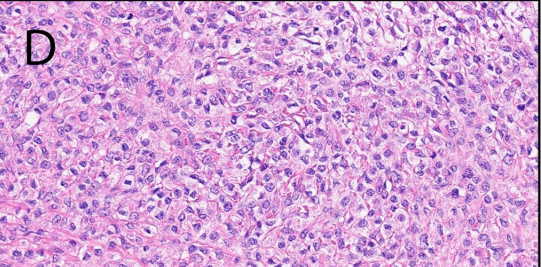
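This tumor is made of epithelioid cells lying within a delicate collagenous stroma. The cells are polygonal with round to oval nuclei and moderate amounts of pale pink to clear cytoplasm. Thin pink collagen strands weave between small groups and single cells, giving a lace-like pattern. The cells look fairly uniform in size.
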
